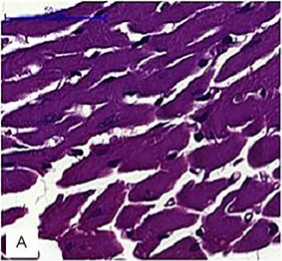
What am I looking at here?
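This is heart muscle with cardiomyocytes cut roughly along their length. The fibres are elongated, branching and stained a deep pink-purple, running in parallel in one main direction. Narrow white clefts of interstitial space separate neighbouring fibres, and the tissue is otherwise compact.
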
